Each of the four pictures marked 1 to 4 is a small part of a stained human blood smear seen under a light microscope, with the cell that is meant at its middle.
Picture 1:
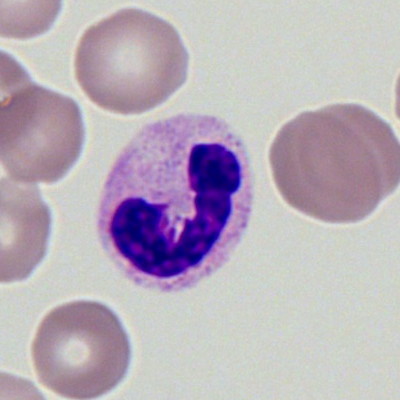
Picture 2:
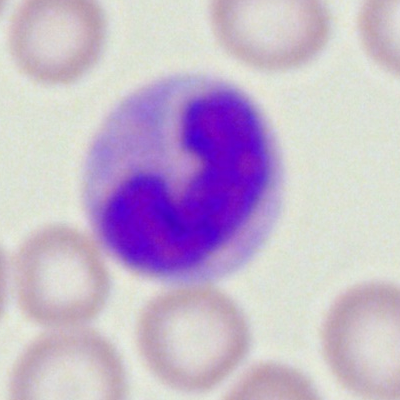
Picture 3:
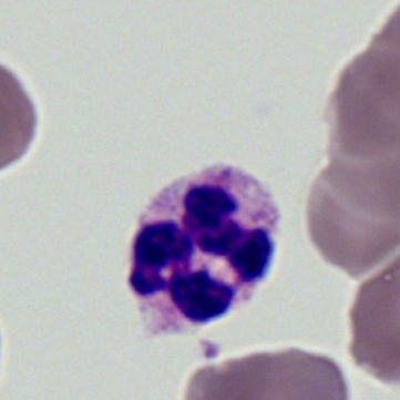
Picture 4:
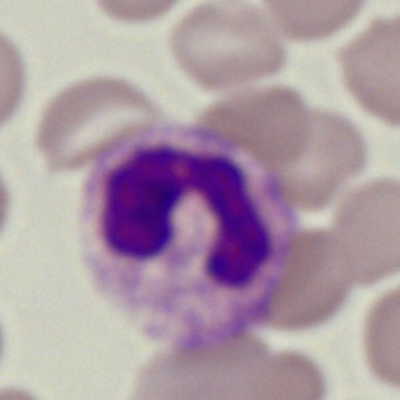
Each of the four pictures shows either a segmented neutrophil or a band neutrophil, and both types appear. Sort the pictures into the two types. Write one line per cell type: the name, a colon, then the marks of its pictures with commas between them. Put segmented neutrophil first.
segmented neutrophil: 3
band neutrophil: 1, 2, 4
